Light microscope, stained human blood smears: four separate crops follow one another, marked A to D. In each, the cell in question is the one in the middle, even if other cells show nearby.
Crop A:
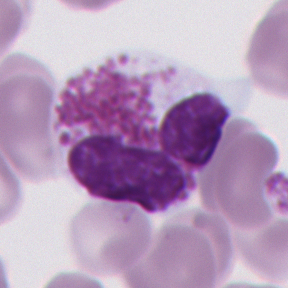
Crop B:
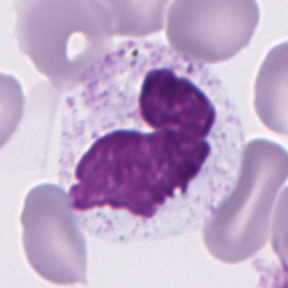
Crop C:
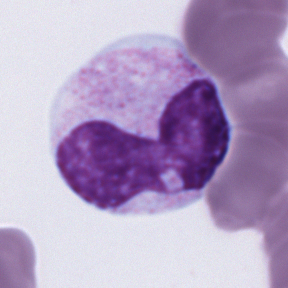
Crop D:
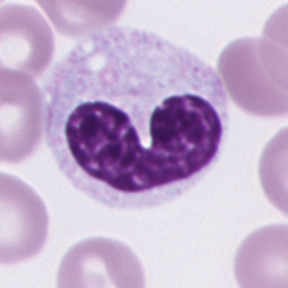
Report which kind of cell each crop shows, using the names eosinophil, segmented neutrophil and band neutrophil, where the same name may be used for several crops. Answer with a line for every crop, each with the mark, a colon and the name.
A: eosinophil
B: band neutrophil
C: band neutrophil
D: band neutrophil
